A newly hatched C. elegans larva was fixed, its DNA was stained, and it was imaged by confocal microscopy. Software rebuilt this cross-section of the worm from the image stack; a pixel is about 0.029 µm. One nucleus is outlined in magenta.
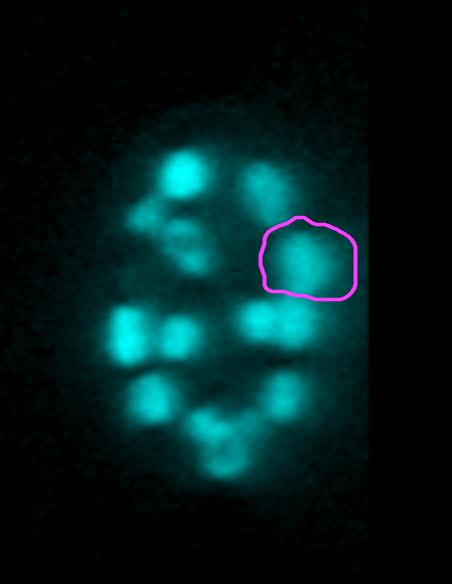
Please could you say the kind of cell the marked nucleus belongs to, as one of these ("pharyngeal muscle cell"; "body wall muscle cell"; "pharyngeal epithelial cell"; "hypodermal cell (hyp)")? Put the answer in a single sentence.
This is the nucleus of a hypodermal cell (hyp).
